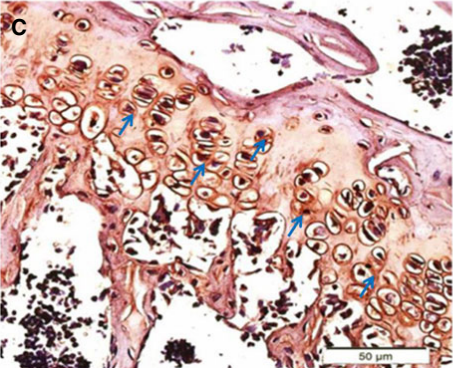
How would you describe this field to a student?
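This is growth plate cartilage in which chondrocytes sit in rounded lacunae within an orange-red matrix. Several cells show a darker brown rim or dark content at one side of the lacuna. Below and at the sides of the cartilage, pink bony tissue borders marrow spaces filled with small dark cells. At the top a thin band of flattened tissue lines the surface.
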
